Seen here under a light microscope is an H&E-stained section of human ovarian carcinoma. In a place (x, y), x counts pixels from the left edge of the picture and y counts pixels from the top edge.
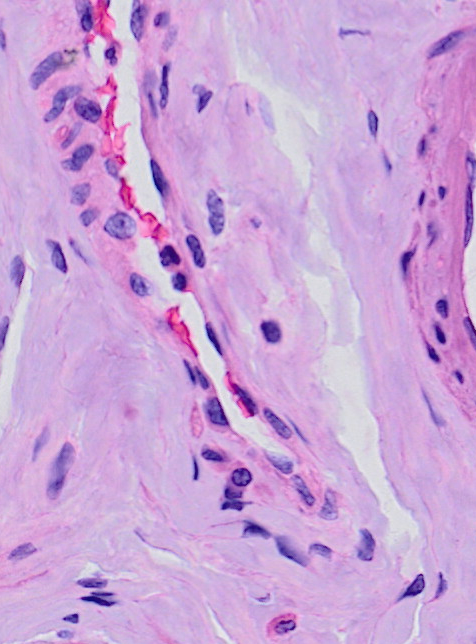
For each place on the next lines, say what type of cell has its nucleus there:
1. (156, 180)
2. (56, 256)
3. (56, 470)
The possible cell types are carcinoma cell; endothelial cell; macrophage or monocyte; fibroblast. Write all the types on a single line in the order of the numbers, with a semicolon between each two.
endothelial cell; fibroblast; fibroblast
